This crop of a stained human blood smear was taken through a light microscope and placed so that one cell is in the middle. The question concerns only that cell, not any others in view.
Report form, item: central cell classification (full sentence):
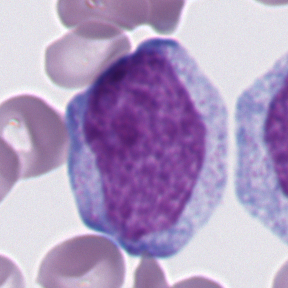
By classification, the middle cell of this crop is a promyelocyte.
